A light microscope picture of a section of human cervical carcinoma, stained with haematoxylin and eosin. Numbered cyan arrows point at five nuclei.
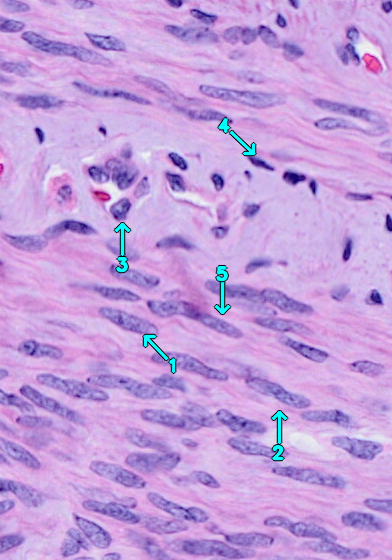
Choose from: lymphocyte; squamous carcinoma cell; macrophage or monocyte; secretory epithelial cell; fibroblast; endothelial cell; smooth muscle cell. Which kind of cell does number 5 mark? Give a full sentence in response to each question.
Numbered cell 5 is a smooth muscle cell in this tissue section.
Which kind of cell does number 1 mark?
Nucleus 1 in this section belongs to a smooth muscle cell.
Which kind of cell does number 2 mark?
Cell number 2 in this section is a smooth muscle cell.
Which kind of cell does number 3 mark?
To an endothelial cell belongs the nucleus marked 3.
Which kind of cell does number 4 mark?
The cell pointed out as number 4 is a fibroblast.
